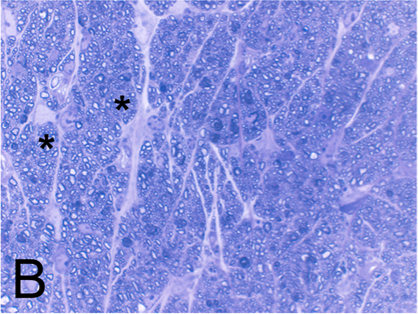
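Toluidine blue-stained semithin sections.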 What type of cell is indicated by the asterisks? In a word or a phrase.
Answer: Astrocytes.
